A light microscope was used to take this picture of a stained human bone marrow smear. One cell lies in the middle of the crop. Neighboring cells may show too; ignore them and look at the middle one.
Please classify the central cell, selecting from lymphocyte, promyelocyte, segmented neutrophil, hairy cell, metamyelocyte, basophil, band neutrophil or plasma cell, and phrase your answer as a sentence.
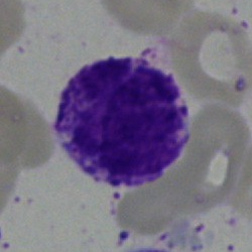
Among the cells in view, the one in the middle is a basophil.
